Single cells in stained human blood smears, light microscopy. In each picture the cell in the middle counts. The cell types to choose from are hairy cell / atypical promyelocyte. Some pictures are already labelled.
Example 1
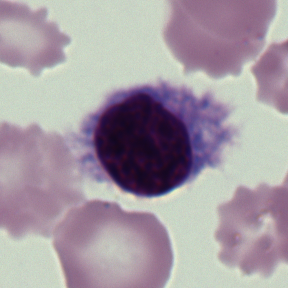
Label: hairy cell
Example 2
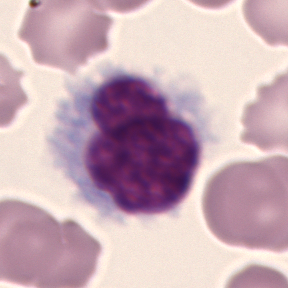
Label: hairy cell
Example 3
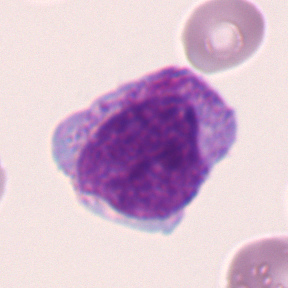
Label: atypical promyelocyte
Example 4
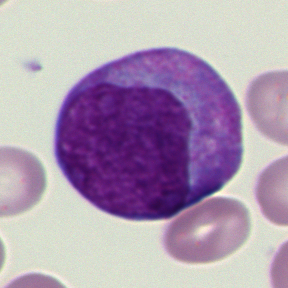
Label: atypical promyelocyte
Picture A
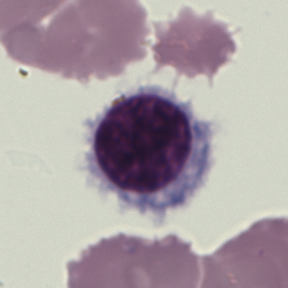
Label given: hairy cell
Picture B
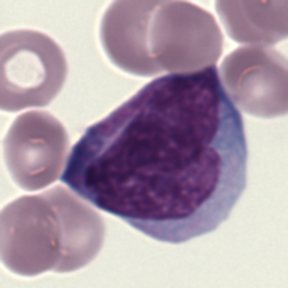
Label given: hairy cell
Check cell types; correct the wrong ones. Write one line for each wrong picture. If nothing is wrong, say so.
B: atypical promyelocyte, not hairy cell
